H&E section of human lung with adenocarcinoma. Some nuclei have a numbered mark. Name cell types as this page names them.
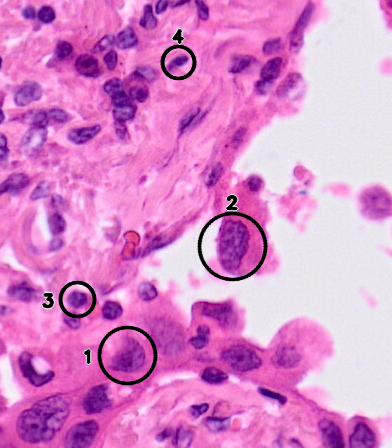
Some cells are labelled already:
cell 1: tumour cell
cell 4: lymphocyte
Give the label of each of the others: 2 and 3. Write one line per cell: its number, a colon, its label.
2: tumour cell
3: lymphocyte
